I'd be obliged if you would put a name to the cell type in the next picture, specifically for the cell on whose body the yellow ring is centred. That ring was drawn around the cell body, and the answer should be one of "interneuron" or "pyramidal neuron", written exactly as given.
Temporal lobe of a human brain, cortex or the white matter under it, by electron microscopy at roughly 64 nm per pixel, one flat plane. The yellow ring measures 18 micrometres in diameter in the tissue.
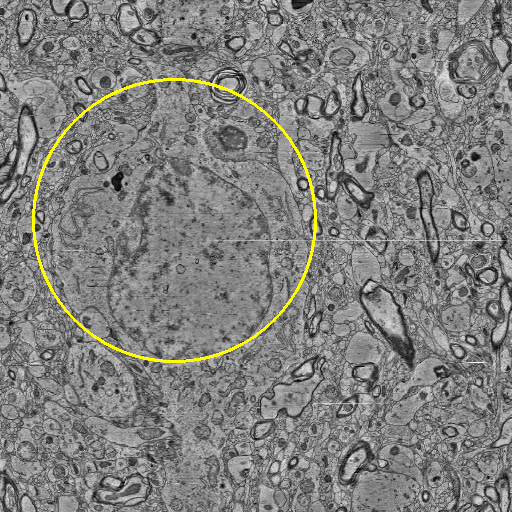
interneuron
